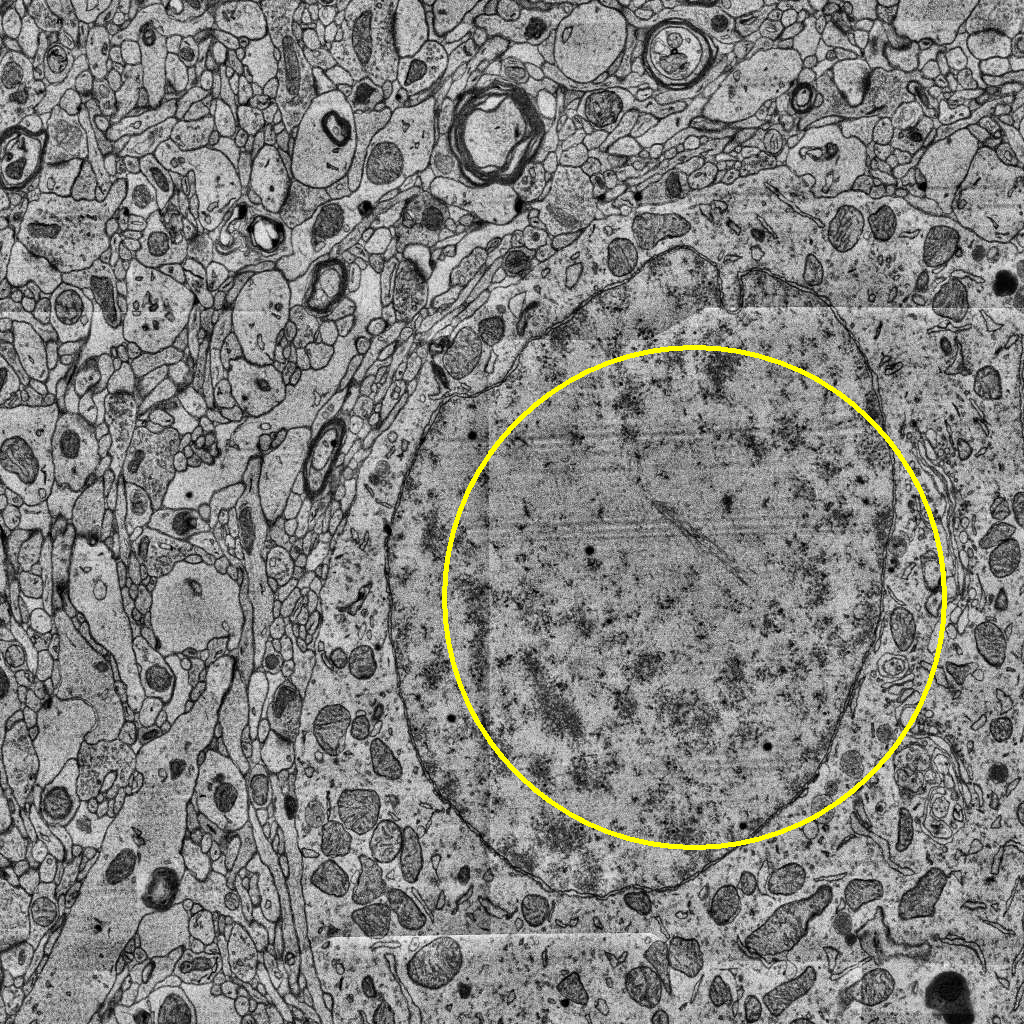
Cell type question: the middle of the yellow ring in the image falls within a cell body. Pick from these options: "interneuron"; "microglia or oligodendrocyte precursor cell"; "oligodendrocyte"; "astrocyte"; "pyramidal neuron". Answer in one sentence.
The cell body at the center of the ring belongs to an interneuron.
